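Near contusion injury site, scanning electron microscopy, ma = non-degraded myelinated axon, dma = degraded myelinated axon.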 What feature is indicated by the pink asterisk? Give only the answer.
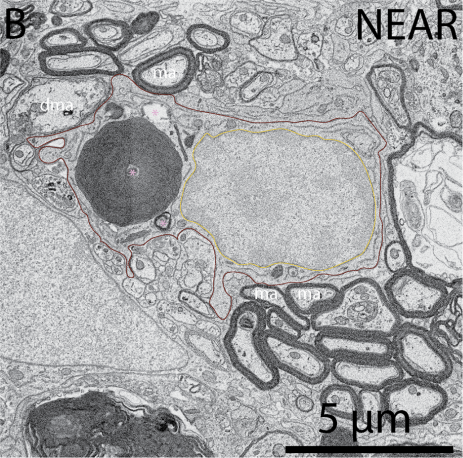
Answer: myelin phagosome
